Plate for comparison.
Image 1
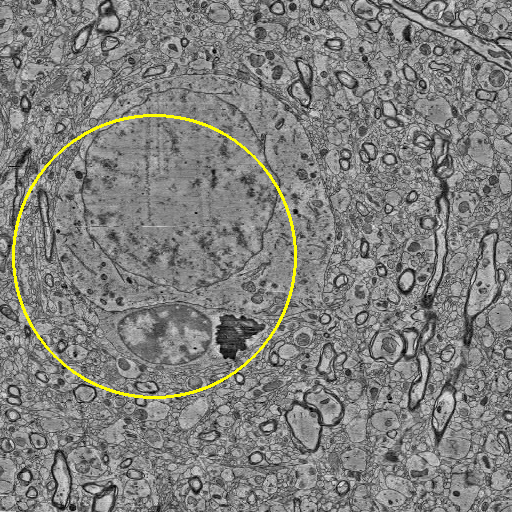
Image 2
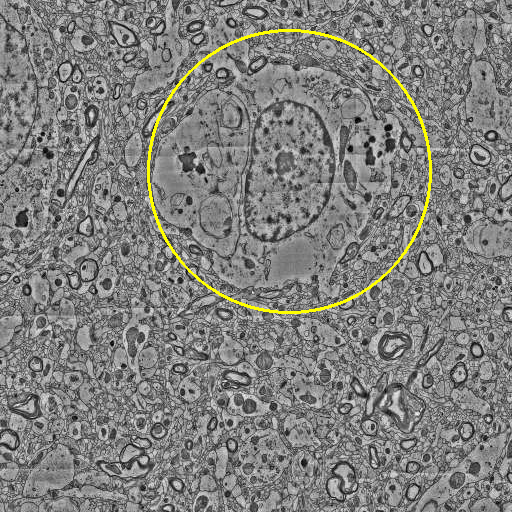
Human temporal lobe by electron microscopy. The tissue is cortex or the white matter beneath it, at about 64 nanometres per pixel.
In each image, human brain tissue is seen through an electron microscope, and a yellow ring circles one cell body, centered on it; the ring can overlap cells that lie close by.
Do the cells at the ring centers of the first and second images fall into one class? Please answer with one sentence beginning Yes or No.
No, the first and second images show two classes of cell at the ring centers.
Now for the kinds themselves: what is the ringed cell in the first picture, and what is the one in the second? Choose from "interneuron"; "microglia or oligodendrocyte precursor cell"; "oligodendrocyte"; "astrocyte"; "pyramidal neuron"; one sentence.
Here the first cell is a pyramidal neuron and the second cell is an astrocyte.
